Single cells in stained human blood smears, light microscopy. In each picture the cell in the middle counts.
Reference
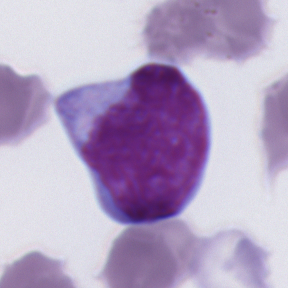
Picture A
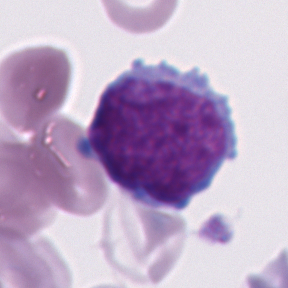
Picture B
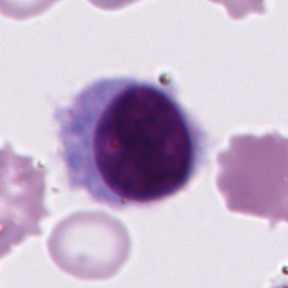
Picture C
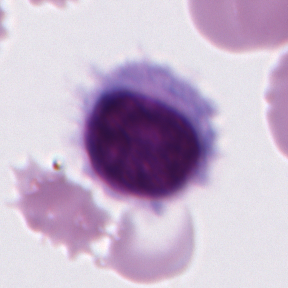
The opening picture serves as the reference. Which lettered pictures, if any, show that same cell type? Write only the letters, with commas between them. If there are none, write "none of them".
A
